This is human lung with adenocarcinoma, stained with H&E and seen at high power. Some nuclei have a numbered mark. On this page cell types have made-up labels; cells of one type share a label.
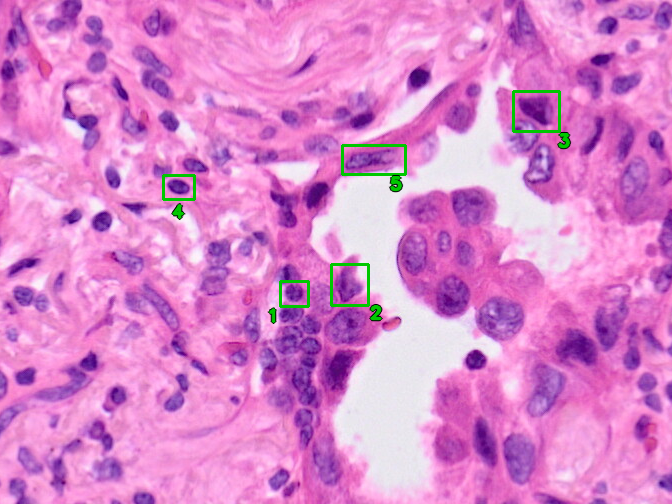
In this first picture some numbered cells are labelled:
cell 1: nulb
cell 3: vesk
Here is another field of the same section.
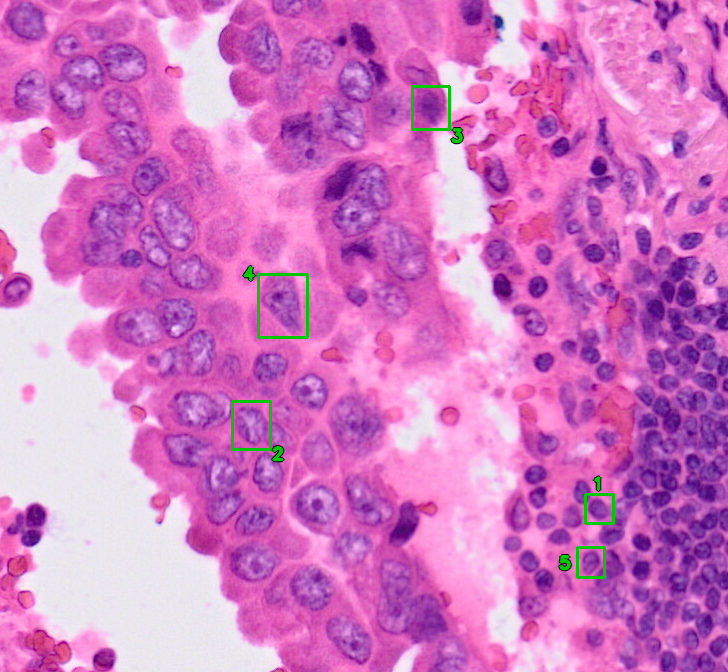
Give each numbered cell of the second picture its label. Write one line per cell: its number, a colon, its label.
1: nulb
2: vesk
3: vesk
4: vesk
5: nulb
